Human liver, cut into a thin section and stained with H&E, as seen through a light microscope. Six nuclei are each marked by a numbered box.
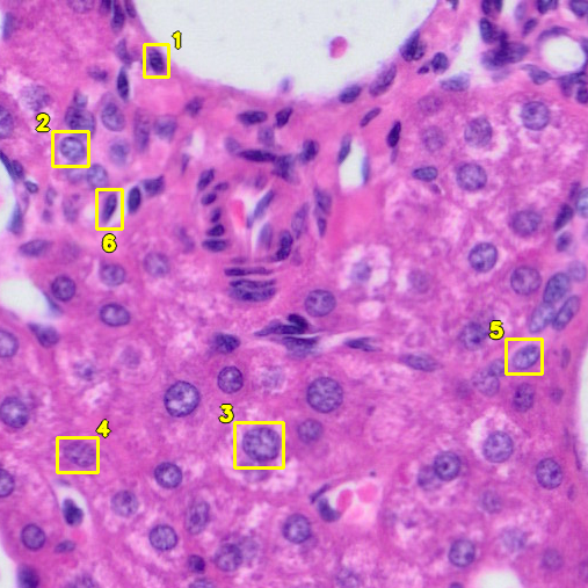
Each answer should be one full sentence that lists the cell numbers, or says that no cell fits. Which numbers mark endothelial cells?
It is true of every numbered cell that it is not one of the endothelial cells.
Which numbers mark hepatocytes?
The cells carrying the numbers 3 and 4 are hepatocytes.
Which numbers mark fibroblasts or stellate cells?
The cells labelled 1 and 6 in this section are fibroblasts or stellate cells.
